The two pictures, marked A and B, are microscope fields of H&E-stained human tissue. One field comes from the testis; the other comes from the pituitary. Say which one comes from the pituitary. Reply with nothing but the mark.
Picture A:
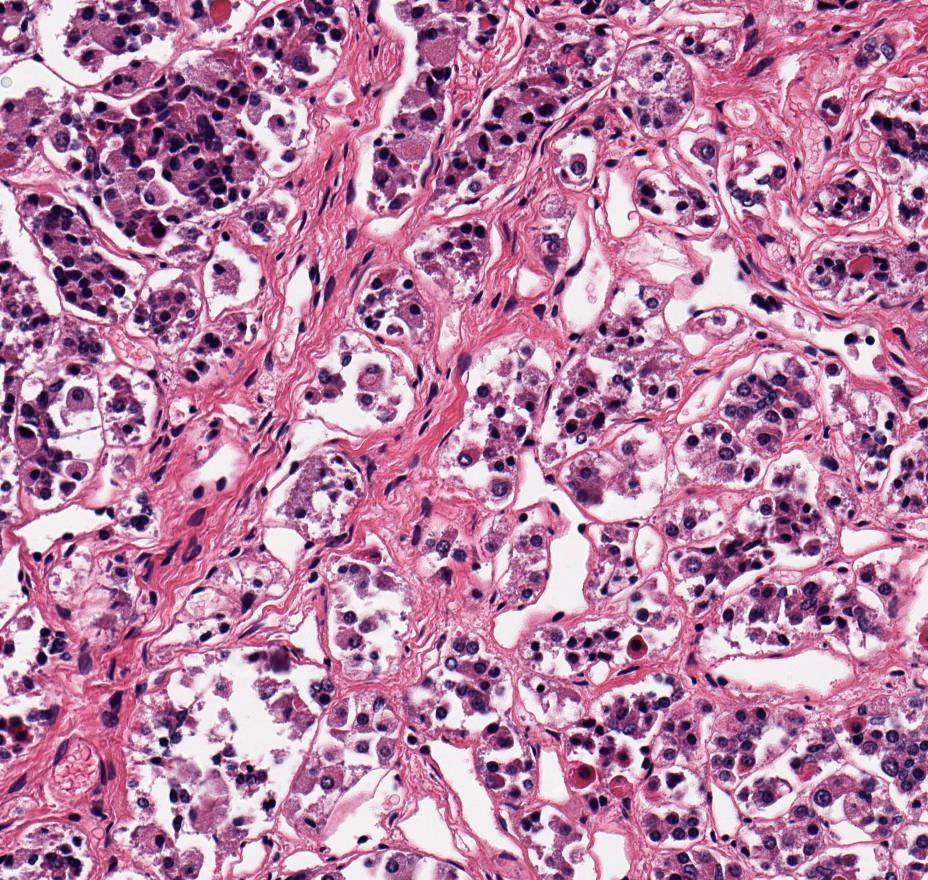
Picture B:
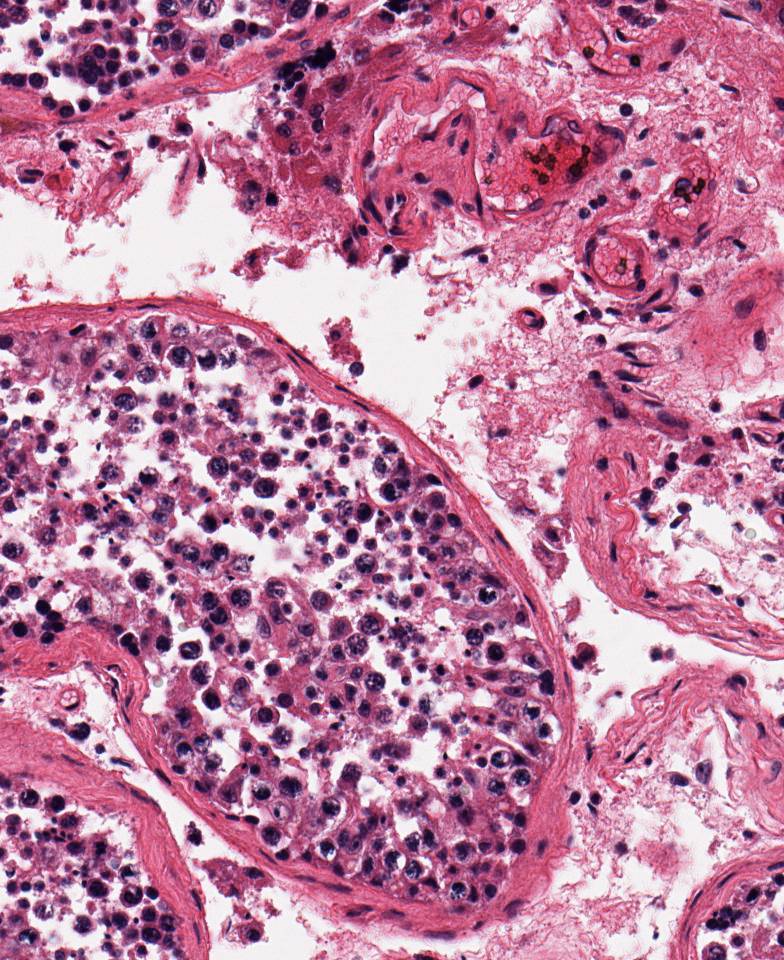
A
